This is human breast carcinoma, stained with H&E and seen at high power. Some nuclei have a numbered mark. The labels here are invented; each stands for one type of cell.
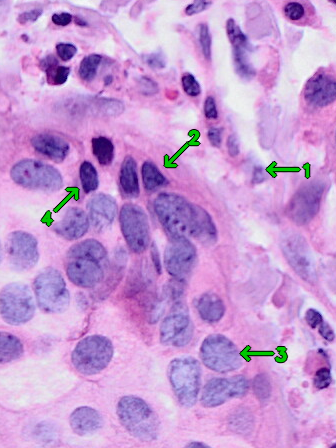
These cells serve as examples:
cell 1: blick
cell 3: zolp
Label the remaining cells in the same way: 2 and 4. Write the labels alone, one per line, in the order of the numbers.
zolp
zolp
